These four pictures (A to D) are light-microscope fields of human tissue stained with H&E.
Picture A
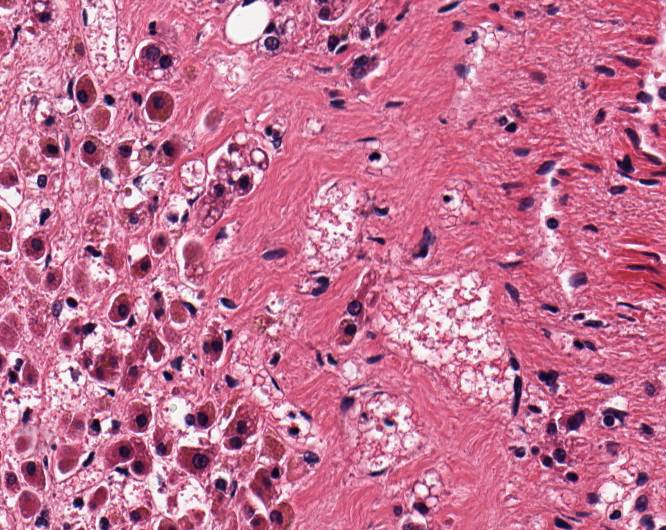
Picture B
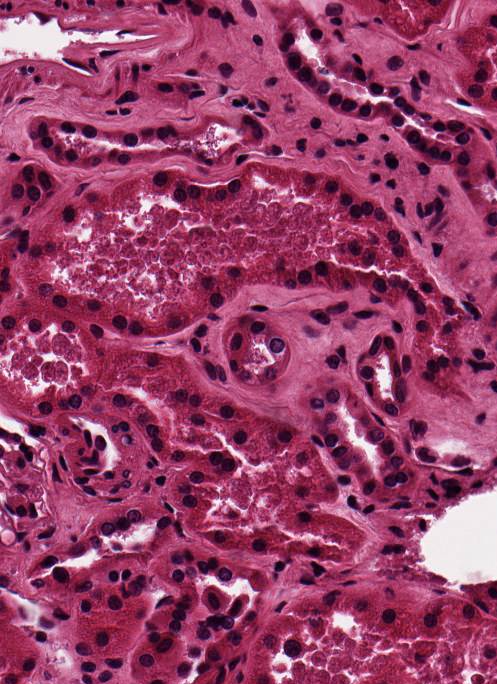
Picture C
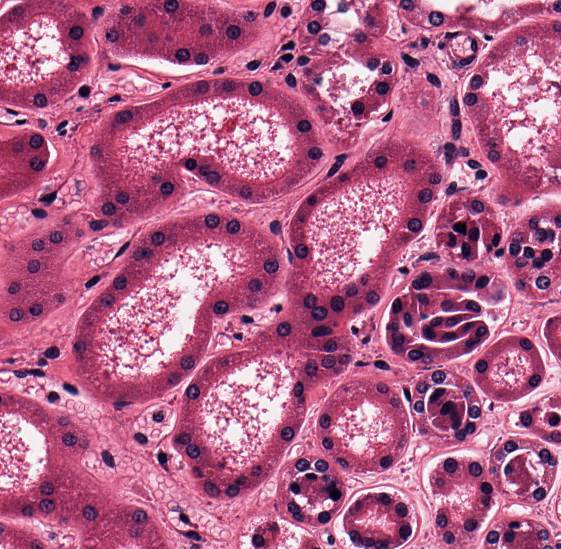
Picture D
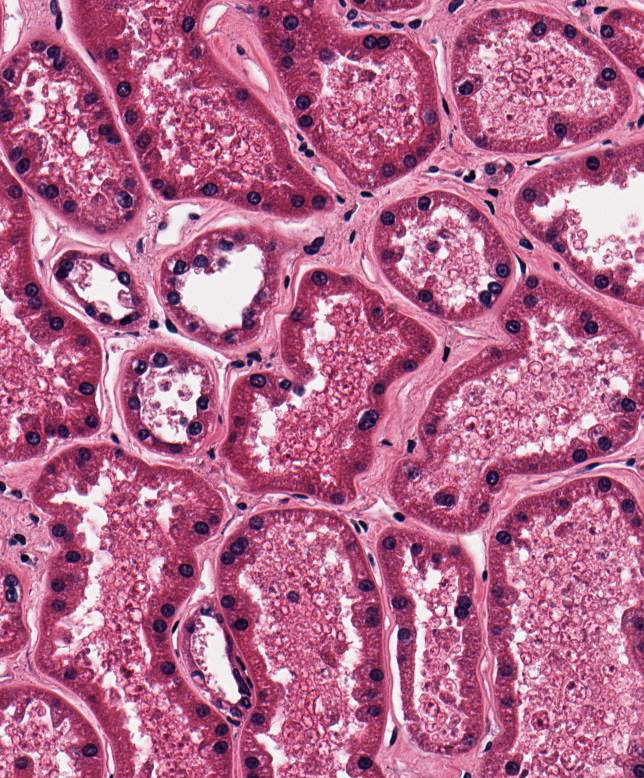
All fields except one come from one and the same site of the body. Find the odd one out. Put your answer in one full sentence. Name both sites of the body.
Picture A is the odd one out: it comes from the adrenal gland, while the others come from the renal cortex.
